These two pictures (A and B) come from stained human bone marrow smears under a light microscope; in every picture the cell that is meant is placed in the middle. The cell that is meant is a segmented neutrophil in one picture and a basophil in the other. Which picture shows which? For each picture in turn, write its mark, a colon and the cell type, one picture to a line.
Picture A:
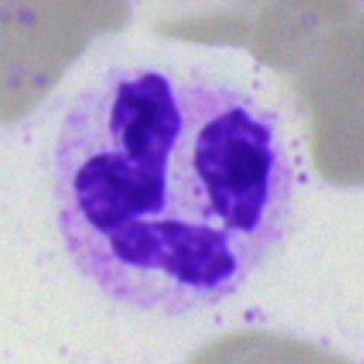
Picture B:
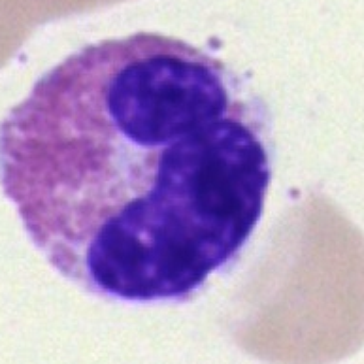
A: segmented neutrophil
B: basophil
